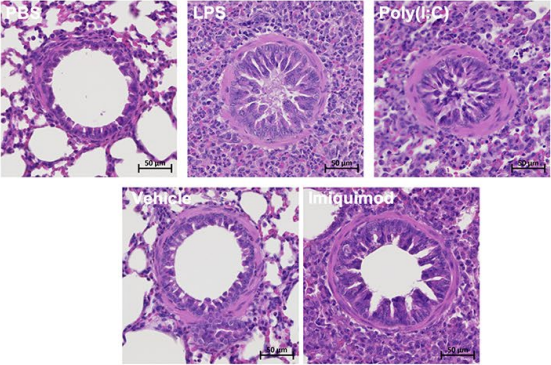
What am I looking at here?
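These are sections of lung, each centred on a small airway lined by folded columnar epithelium and ringed by a pink wall of smooth muscle and connective tissue. In some of the sections the tissue around the airway is crowded with dense, purple-nucleated inflammatory cells that fill in the nearby alveolar spaces. In others the airway is surrounded by open, thin-walled alveoli with only a few cells around it.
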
